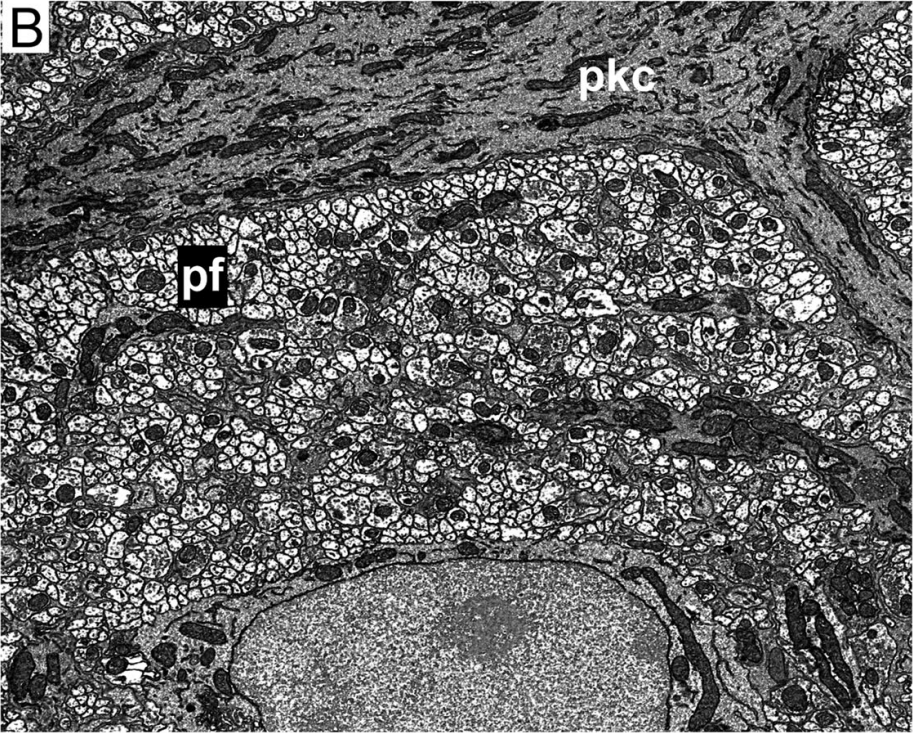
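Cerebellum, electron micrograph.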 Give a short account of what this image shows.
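Most of the field is packed with small, light, roundish profiles, many holding a small dark mitochondrion, tightly crowded against one another. A large oval nucleus with fine grey chromatin lies at the bottom edge.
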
